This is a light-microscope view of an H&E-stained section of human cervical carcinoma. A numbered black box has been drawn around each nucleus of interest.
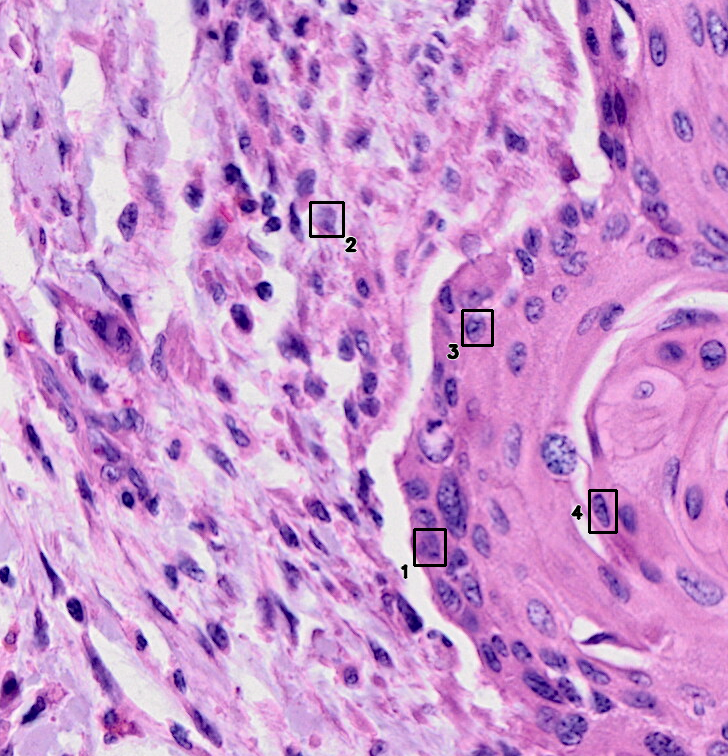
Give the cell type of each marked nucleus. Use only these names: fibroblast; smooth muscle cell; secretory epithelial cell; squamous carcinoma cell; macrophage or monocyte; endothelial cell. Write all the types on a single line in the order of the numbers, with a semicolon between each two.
squamous carcinoma cell; fibroblast; squamous carcinoma cell; squamous carcinoma cell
